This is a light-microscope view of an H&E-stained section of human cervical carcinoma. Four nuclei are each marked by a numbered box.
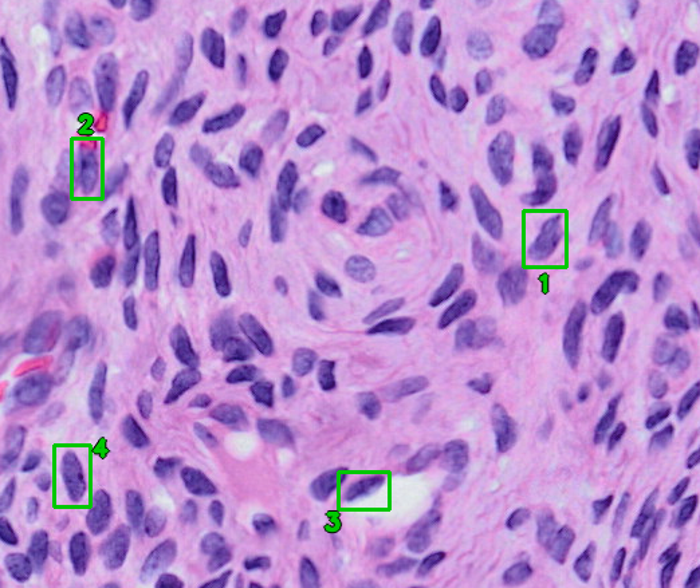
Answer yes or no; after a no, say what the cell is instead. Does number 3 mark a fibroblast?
No, it is an endothelial cell.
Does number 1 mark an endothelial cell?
No, it is a fibroblast.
